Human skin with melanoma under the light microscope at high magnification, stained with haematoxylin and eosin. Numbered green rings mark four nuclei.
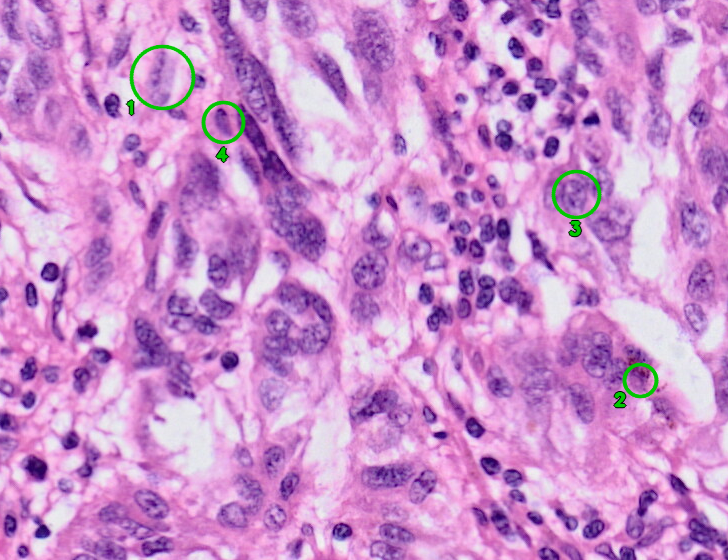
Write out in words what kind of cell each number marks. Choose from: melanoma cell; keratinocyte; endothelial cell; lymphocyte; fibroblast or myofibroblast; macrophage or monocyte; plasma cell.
Cell 1 is a fibroblast or myofibroblast, cell 2 is a melanoma cell, cell 3 is a melanoma cell and cell 4 is a macrophage or monocyte.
